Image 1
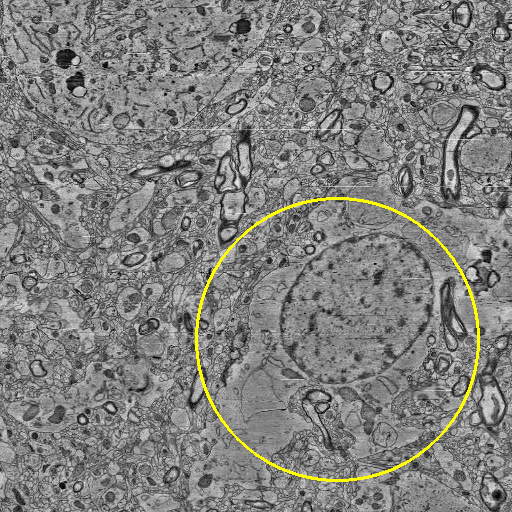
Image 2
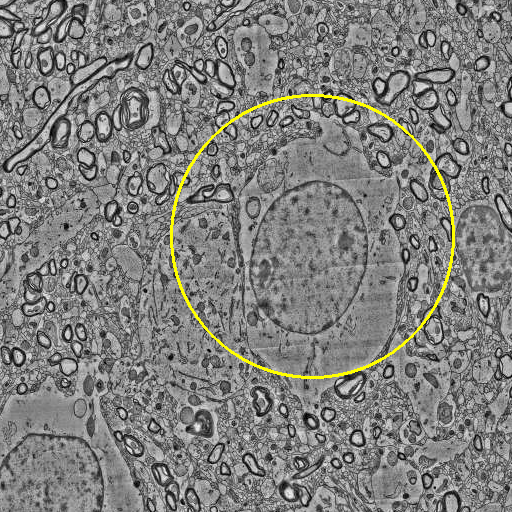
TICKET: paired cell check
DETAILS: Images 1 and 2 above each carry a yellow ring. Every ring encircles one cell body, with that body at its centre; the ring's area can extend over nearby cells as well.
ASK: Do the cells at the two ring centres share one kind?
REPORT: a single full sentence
Yes, the ring-centre cells of Images 1 and 2 belong to a single kind.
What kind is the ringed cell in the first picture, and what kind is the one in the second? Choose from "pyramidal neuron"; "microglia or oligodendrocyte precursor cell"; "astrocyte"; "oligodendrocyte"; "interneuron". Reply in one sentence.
The first and the second cell are each an astrocyte.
